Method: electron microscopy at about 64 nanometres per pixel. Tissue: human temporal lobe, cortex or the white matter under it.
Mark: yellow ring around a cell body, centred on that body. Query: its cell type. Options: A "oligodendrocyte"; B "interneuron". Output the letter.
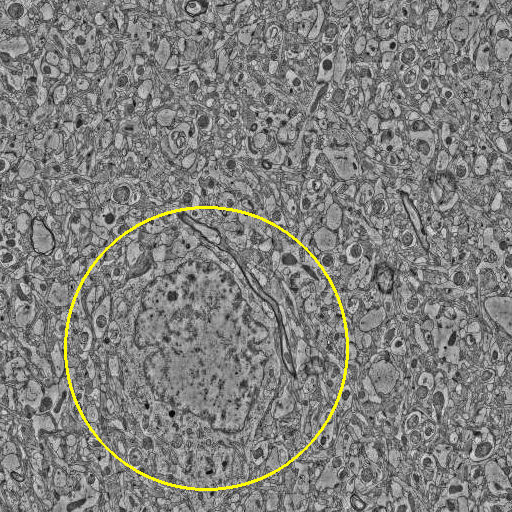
B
